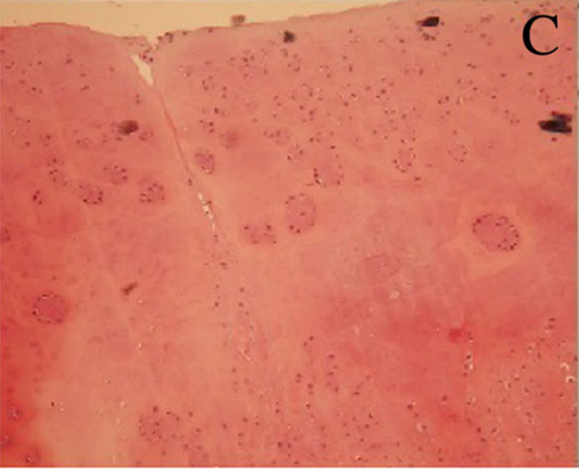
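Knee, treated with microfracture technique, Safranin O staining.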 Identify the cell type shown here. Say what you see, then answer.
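Small dark nuclei are gathered in rounded groups. The groups lie within a red-orange stained matrix. A free surface with a cleft runs along the top. The answer: chondrocyte clusters.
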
